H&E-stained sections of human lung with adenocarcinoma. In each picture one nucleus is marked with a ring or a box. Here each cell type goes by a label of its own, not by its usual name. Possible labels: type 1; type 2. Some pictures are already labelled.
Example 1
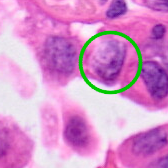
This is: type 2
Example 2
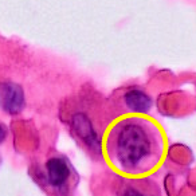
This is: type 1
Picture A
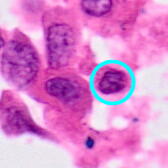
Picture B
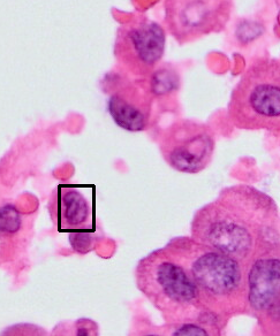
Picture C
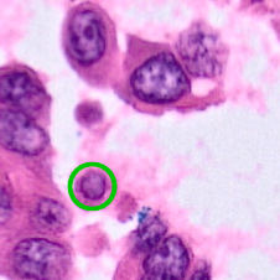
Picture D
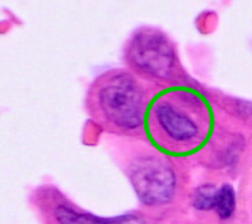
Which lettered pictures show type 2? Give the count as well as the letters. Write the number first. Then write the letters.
Count: 1 (D)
